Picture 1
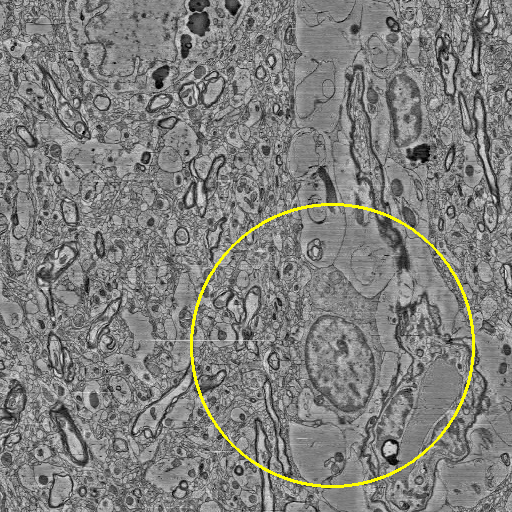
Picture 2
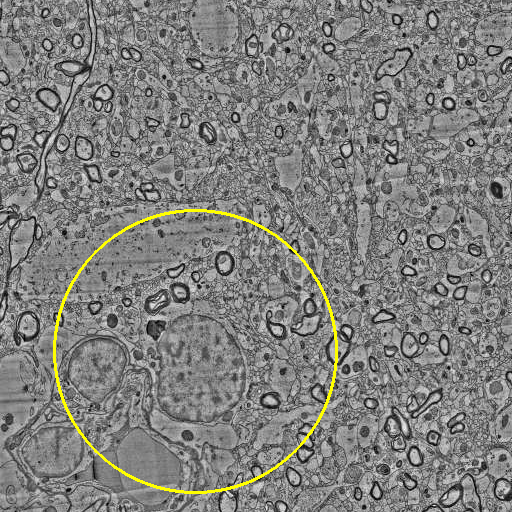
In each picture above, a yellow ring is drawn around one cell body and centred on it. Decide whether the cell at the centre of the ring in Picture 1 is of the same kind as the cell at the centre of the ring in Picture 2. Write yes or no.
yes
